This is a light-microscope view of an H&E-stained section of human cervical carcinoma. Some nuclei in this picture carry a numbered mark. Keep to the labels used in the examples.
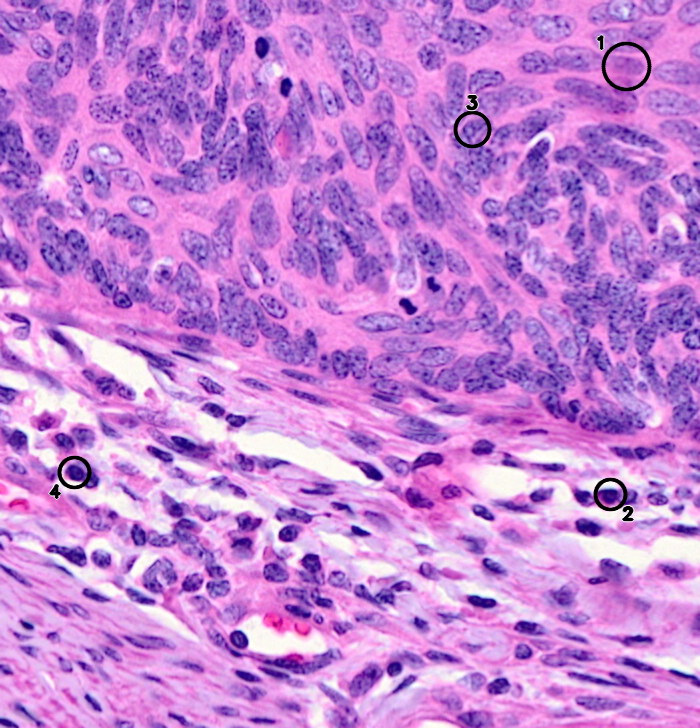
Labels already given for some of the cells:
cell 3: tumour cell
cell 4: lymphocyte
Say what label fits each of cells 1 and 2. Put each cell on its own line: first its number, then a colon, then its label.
1: tumour cell
2: lymphocyte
